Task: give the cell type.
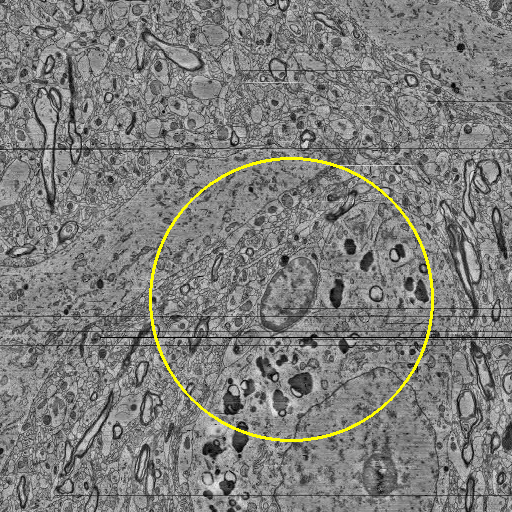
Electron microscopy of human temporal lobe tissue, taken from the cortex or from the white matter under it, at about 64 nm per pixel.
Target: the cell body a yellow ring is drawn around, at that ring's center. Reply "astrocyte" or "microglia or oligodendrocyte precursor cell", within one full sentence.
In this picture, the cell whose body lies at the ring's center is a microglial cell or oligodendrocyte precursor cell.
